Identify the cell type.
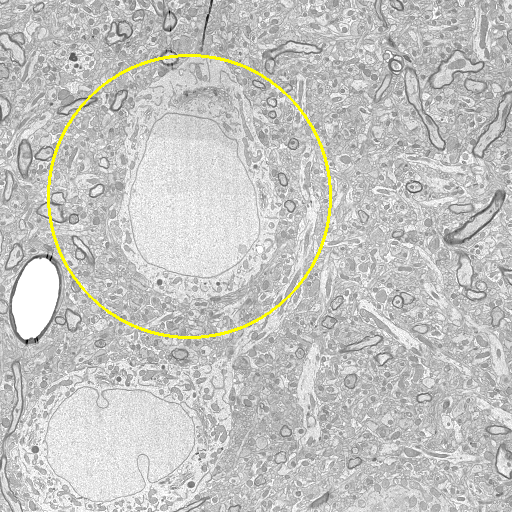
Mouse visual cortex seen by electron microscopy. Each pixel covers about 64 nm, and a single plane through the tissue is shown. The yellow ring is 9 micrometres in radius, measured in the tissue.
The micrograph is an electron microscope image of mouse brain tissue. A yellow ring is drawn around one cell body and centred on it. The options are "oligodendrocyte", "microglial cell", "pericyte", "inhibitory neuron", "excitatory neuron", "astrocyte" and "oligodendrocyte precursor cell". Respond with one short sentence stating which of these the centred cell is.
The cell body in the ring belongs to an excitatory neuron.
